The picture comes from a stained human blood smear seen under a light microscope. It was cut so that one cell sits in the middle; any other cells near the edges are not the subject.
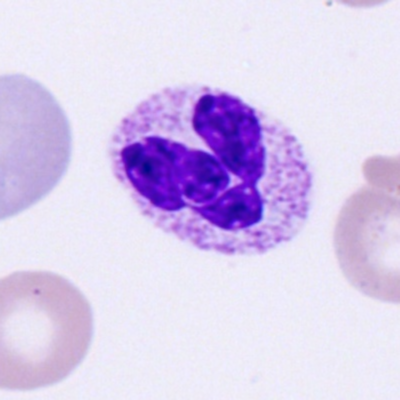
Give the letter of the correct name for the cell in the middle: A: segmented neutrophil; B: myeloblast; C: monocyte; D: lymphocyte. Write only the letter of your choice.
A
